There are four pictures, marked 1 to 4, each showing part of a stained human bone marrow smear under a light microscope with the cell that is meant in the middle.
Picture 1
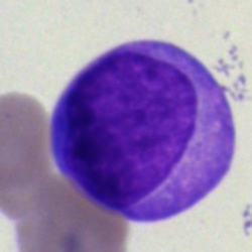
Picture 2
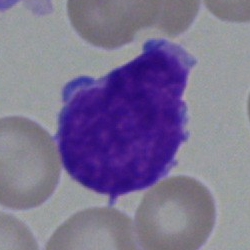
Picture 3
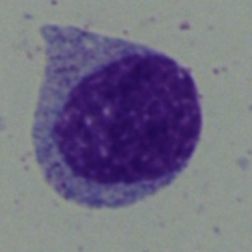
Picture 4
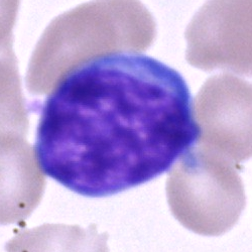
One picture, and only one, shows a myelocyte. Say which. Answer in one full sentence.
The cell in picture 3 is the myelocyte.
